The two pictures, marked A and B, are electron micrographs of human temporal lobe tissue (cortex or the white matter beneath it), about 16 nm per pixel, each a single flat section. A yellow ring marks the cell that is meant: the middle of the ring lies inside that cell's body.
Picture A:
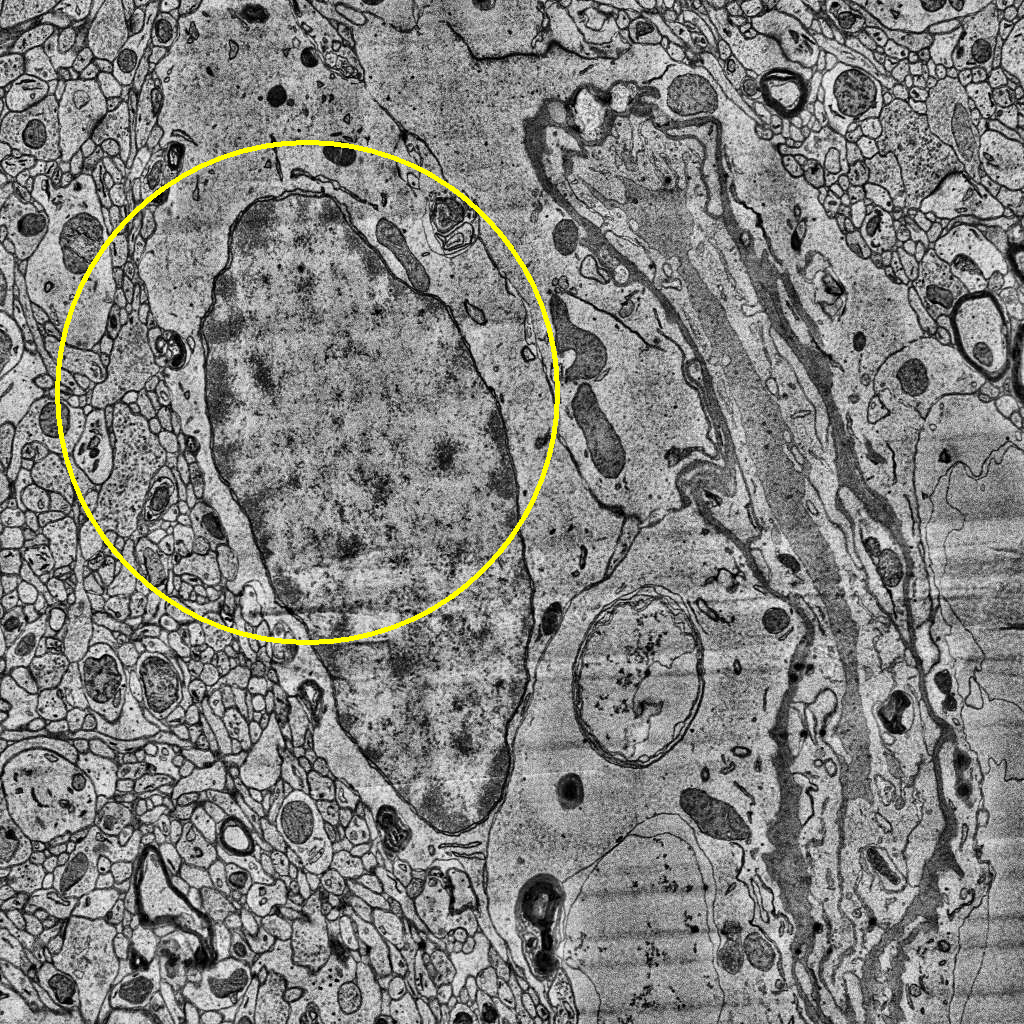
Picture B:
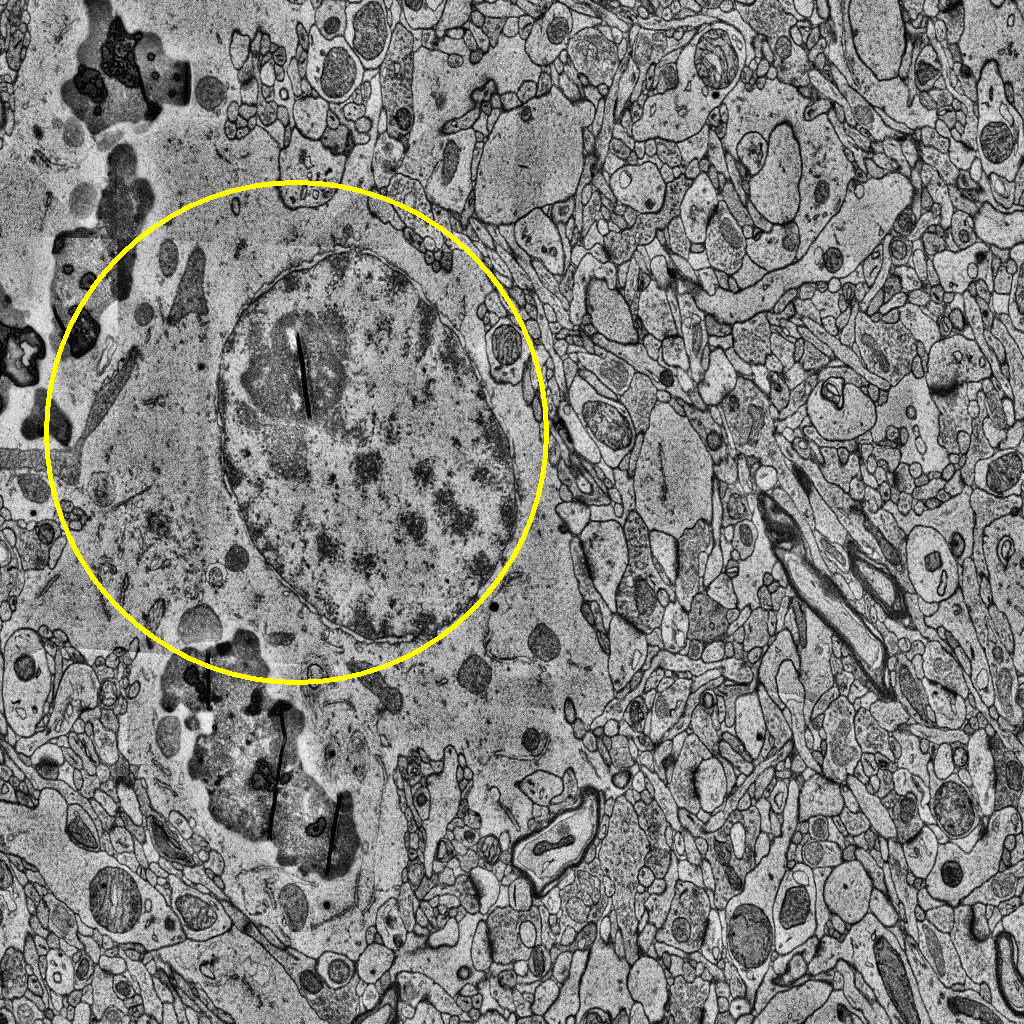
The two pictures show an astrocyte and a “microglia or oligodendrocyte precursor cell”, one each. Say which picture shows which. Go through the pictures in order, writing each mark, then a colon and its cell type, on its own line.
A: microglia or oligodendrocyte precursor cell
B: astrocyte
